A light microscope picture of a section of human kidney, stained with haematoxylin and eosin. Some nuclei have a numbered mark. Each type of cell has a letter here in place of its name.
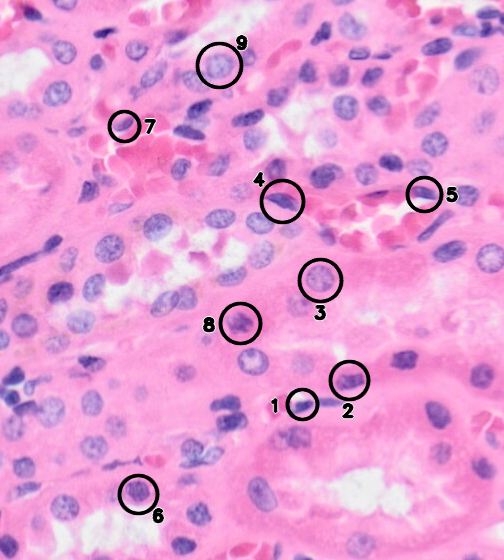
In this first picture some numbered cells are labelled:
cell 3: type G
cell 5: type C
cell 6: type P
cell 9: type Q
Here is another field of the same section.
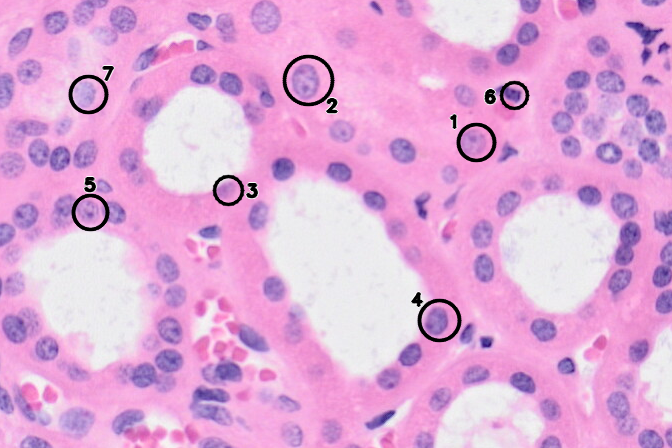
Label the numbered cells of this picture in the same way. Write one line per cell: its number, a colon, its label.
1: type G
2: type G
3: type P
4: type P
5: type Q
6: type C
7: type Q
